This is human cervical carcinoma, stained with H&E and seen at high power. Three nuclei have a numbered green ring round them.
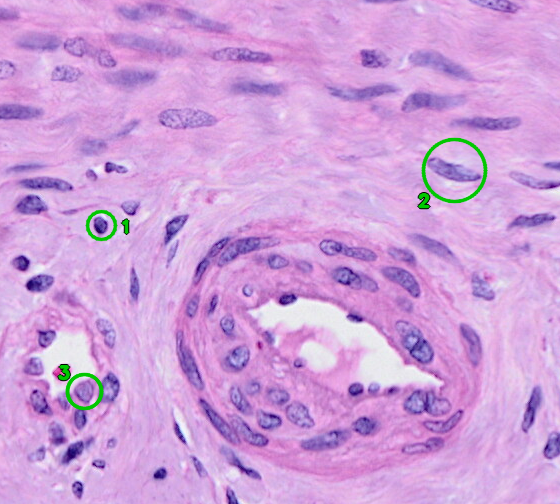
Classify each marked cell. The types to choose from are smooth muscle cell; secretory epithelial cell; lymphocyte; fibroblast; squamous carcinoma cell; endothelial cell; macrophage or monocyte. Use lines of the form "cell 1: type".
cell 1: fibroblast
cell 2: fibroblast
cell 3: endothelial cell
